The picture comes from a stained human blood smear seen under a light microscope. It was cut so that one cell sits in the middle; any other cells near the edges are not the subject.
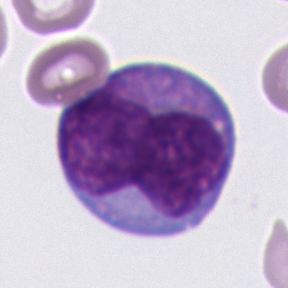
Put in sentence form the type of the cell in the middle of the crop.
At the middle of the frame sits an atypical promyelocyte.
